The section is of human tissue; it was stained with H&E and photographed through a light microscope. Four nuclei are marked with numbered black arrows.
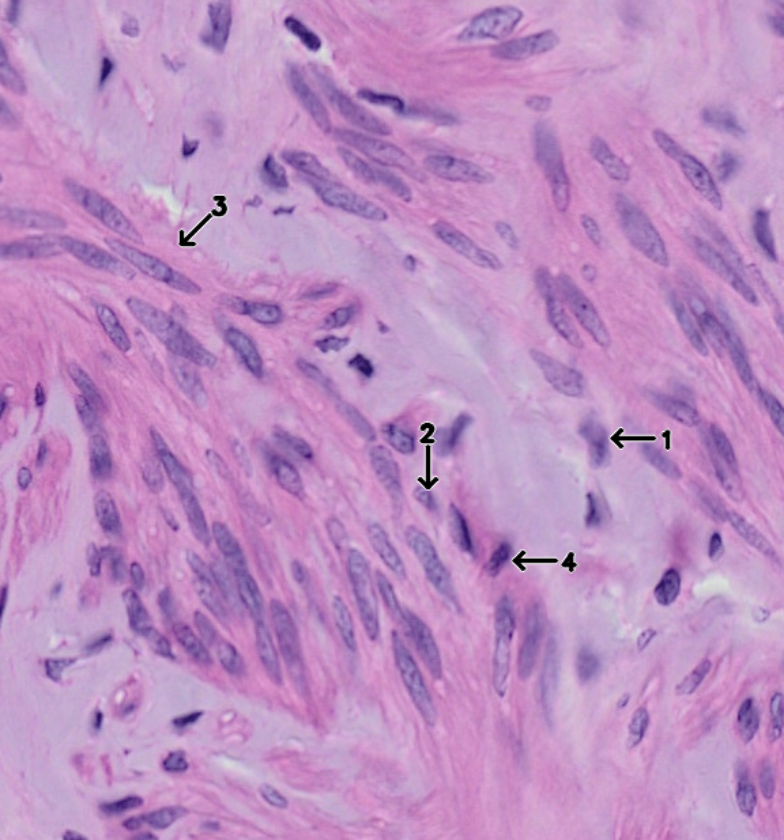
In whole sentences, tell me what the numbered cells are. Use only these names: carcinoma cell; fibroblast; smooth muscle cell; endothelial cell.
Cell 1 is a fibroblast. Cells 2, 3 and 4 are smooth muscle cells.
